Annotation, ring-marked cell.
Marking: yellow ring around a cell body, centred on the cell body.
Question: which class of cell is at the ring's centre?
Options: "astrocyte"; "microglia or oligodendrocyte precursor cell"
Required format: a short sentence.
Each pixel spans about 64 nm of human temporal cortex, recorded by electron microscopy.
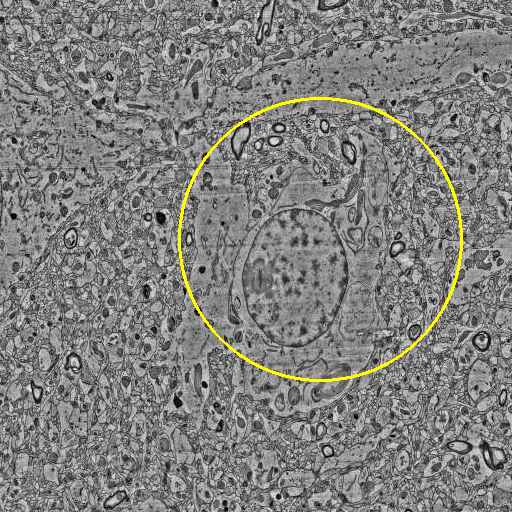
At the ring's centre is an astrocyte.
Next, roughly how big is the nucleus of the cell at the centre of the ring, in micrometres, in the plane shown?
About 9 by 7 micrometres in this plane.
